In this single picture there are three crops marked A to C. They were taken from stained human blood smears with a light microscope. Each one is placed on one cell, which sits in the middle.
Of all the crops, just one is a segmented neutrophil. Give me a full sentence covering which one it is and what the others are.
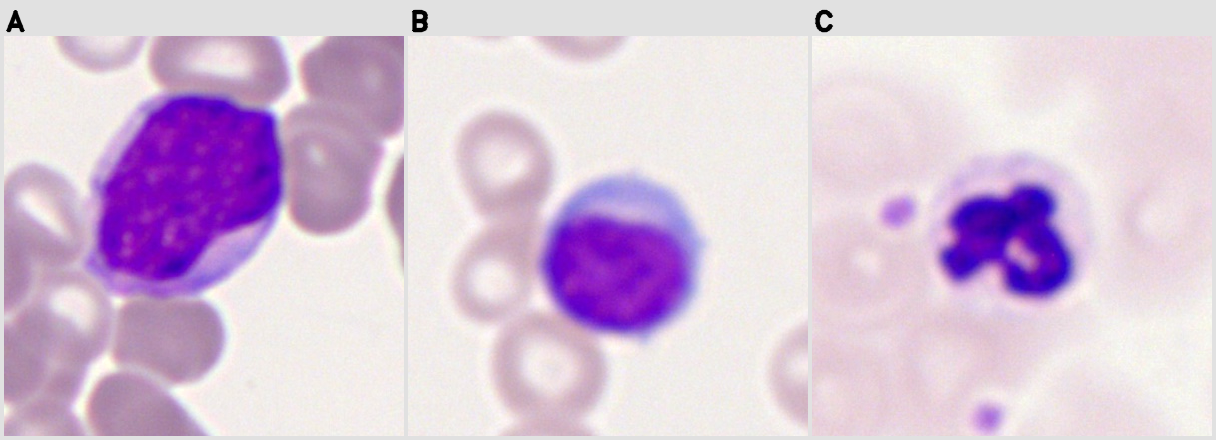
For crop C the cell is a segmented neutrophil, while crop A is a myeloblast and crop B is a lymphocyte.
